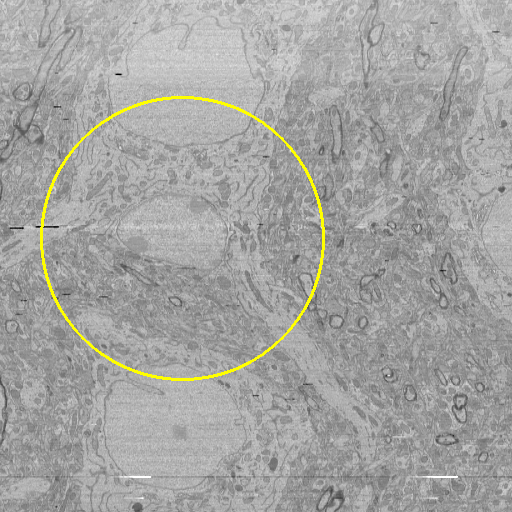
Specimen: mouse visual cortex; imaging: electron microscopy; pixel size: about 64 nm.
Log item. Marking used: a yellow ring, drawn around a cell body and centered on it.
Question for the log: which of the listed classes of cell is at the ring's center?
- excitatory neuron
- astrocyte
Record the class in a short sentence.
At the center of the ring lies an astrocyte.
